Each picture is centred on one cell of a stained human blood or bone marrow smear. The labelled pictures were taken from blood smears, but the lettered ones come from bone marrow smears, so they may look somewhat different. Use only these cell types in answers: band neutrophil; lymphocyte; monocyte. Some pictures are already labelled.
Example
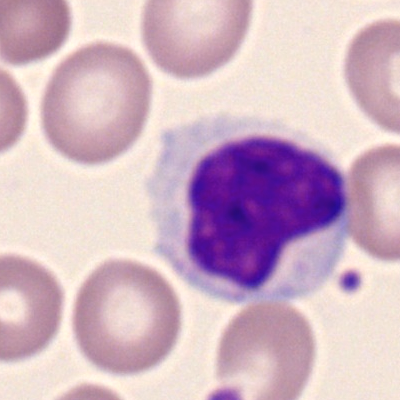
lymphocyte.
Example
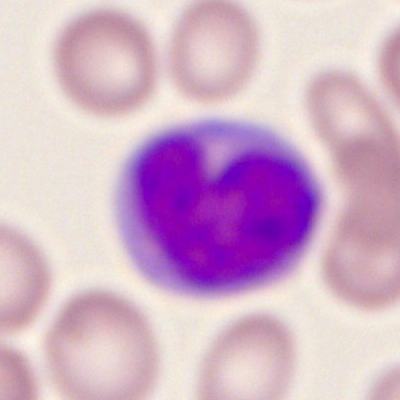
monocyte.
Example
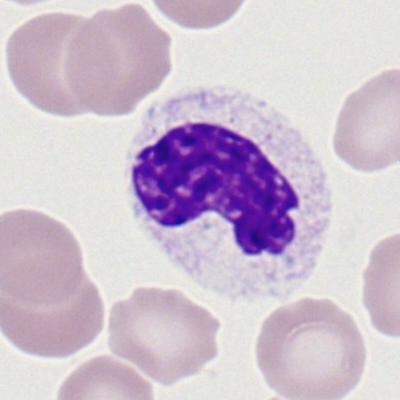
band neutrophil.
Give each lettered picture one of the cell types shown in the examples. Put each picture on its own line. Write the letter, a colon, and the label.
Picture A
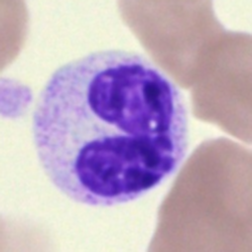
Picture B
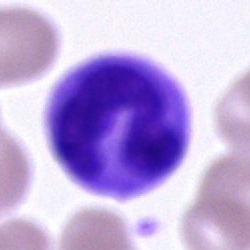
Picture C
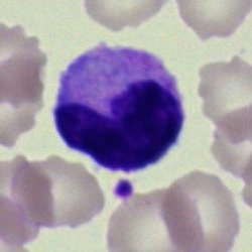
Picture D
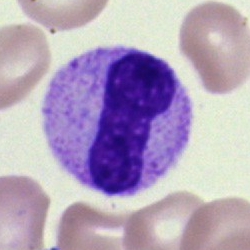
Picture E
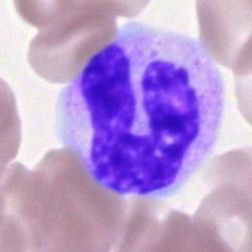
A: band neutrophil.
B: monocyte.
C: band neutrophil.
D: band neutrophil.
E: band neutrophil.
